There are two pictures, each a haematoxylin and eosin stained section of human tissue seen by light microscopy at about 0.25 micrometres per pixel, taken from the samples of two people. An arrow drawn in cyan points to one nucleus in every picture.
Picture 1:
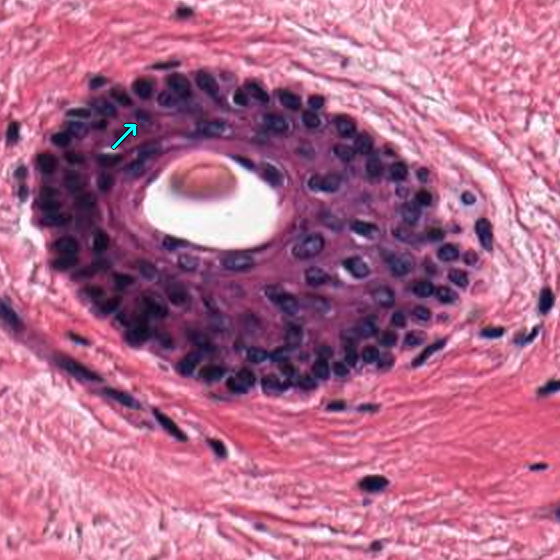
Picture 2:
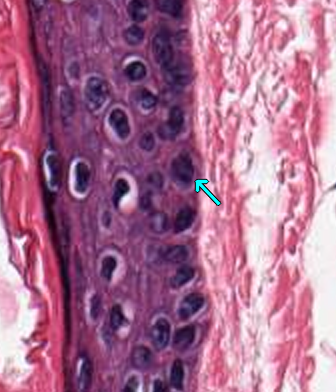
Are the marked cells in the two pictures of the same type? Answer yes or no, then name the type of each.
Yes, both are keratinocytes.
